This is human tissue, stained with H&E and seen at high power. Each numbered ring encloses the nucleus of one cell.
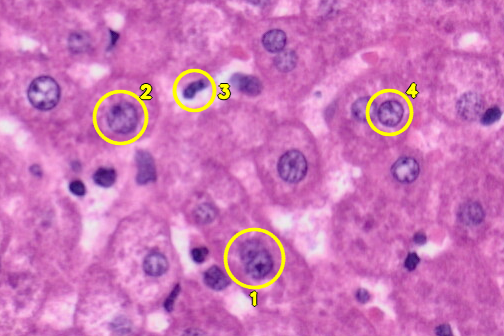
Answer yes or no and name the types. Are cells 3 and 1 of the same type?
No, cell 3 is a lymphocyte and cell 1 is a hepatocyte.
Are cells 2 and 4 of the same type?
Yes, both are hepatocytes.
